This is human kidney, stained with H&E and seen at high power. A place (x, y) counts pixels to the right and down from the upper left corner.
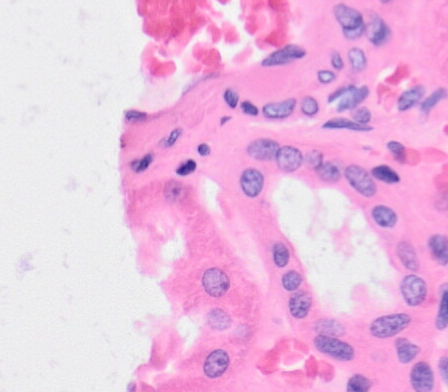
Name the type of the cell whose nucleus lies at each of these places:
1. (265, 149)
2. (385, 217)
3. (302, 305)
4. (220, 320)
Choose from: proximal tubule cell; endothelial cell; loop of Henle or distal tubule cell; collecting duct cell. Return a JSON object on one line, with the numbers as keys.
{"1": "collecting duct cell", "2": "collecting duct cell", "3": "collecting duct cell", "4": "proximal tubule cell"}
